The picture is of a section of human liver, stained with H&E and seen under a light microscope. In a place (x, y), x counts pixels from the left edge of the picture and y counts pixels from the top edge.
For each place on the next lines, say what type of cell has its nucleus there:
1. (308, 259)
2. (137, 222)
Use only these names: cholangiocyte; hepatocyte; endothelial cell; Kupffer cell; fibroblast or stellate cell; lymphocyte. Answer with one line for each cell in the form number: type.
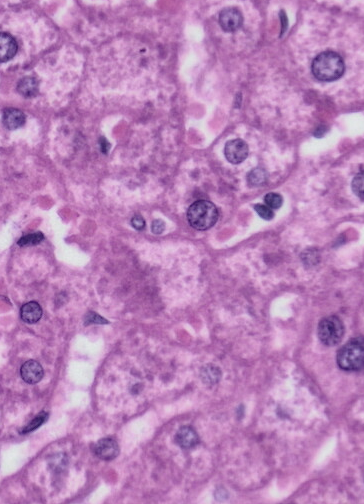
1: hepatocyte
2: Kupffer cell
